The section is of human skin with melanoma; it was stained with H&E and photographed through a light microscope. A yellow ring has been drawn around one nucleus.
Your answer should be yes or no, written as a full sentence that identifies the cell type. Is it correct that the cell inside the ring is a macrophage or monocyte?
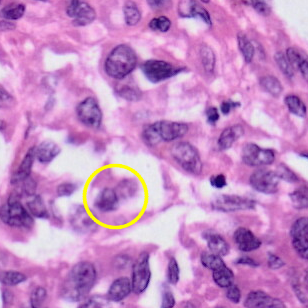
No; the cell inside the ring should be labelled a melanoma cell rather than a macrophage or monocyte.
